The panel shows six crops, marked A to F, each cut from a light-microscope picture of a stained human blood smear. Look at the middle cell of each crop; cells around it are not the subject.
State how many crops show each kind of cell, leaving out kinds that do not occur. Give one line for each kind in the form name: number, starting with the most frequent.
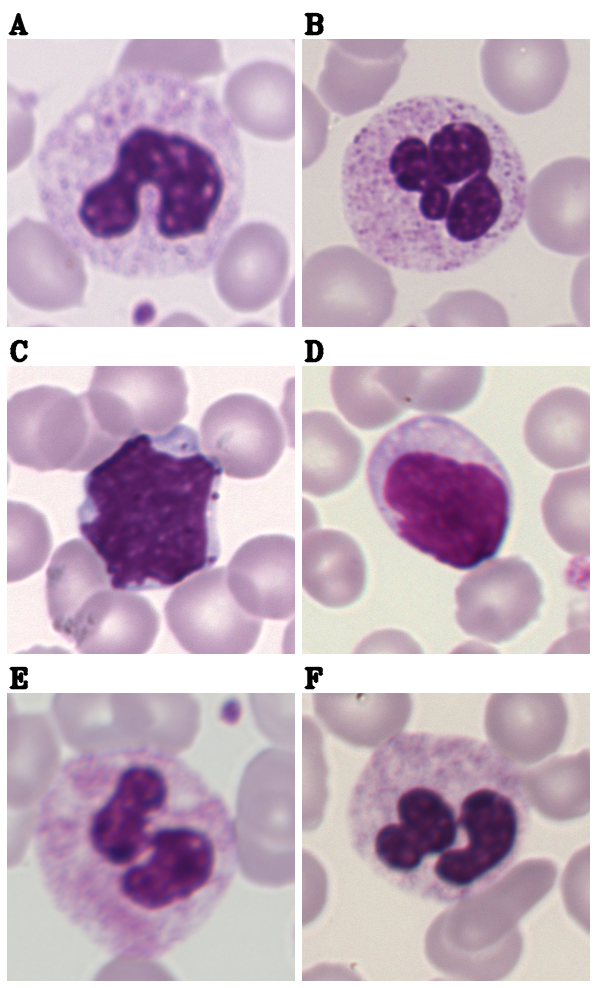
neutrophil: 4
large granular lymphocyte: 2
